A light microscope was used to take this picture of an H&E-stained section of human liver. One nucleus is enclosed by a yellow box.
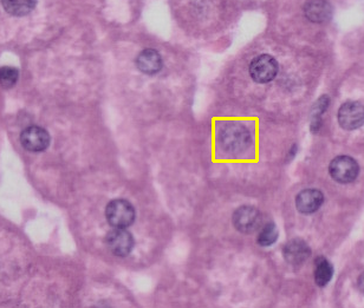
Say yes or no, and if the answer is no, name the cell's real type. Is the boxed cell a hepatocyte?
Yes.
